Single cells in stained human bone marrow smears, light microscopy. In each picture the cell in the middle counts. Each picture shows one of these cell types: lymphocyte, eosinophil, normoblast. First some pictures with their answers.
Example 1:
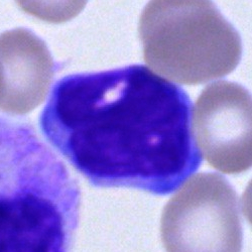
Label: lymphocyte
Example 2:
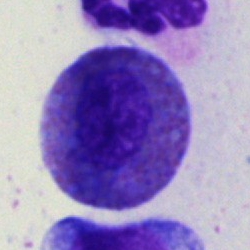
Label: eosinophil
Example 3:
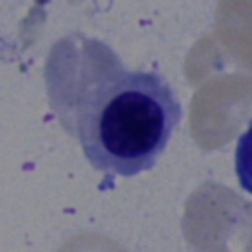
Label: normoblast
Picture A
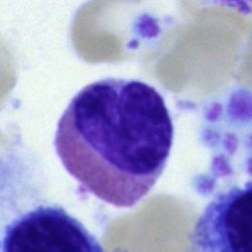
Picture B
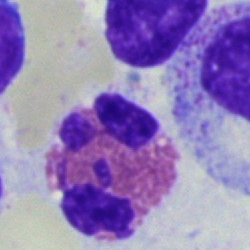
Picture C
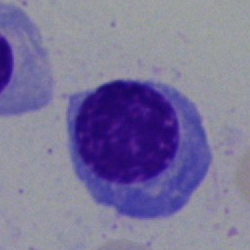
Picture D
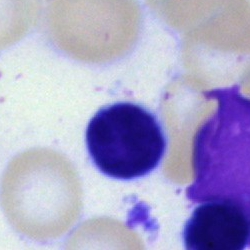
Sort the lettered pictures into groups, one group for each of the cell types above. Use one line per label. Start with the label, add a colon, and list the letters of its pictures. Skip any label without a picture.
lymphocyte: D
eosinophil: A, B
normoblast: C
